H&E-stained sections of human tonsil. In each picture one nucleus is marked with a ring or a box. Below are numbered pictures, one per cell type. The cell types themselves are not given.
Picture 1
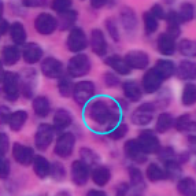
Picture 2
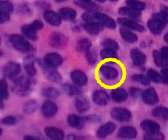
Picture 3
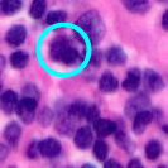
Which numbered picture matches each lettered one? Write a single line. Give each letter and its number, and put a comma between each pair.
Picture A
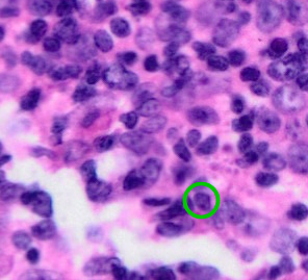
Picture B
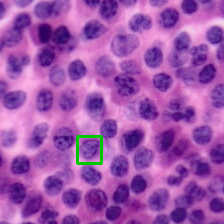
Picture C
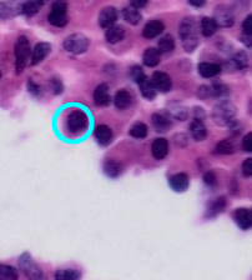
A 3, B 2, C 2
